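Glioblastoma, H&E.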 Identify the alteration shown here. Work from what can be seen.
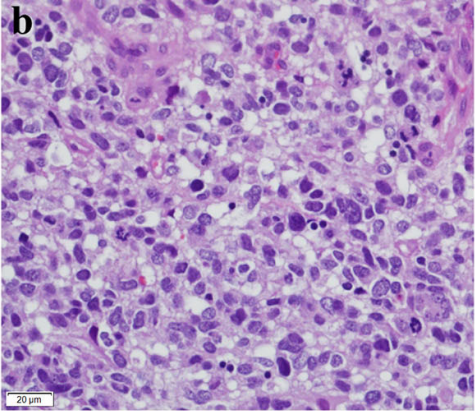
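Pleomorphic hyperchromatic nuclei. Nuclei vary widely in size and shape. Many nuclei are dark purple. Cells lie in crowded sheets.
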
